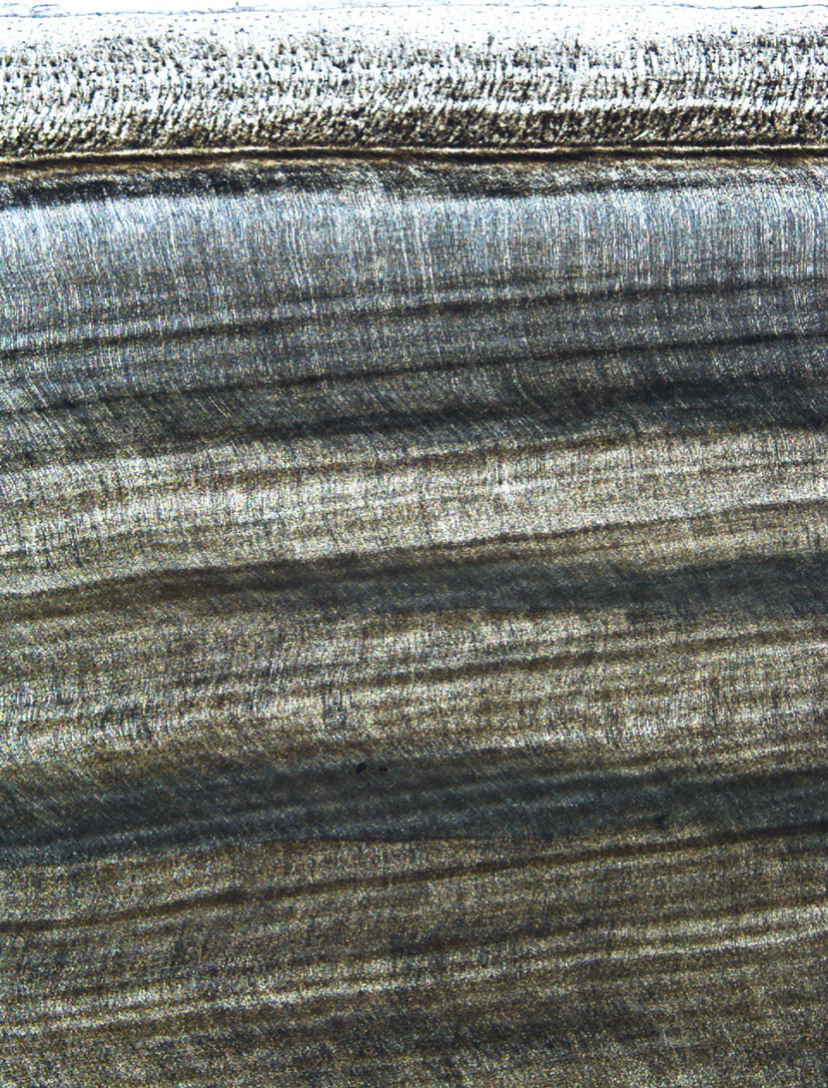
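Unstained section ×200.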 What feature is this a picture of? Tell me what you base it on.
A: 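Very fine, closely set parallel lines run across the tissue below the top layer. The fine lines follow gently curving courses across the field. That points to this answer: odontoblastic tubules.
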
